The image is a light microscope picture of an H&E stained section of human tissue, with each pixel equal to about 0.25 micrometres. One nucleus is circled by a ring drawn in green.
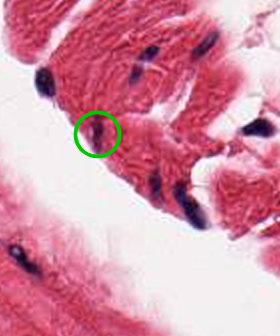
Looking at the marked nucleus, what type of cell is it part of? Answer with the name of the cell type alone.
smooth muscle cell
